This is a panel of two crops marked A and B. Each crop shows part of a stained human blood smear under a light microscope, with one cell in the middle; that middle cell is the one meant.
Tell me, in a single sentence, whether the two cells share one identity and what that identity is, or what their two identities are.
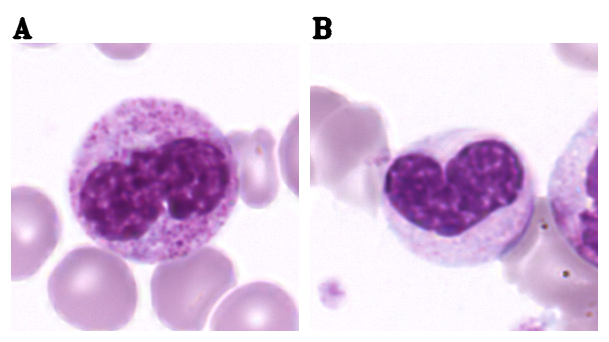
Yes, in both crops, band neutrophils are the cells at the middle.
